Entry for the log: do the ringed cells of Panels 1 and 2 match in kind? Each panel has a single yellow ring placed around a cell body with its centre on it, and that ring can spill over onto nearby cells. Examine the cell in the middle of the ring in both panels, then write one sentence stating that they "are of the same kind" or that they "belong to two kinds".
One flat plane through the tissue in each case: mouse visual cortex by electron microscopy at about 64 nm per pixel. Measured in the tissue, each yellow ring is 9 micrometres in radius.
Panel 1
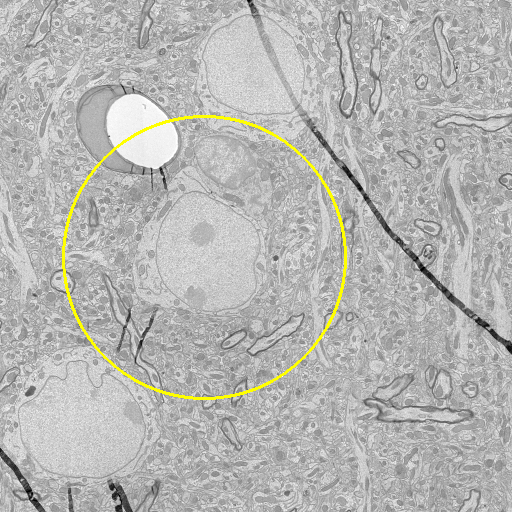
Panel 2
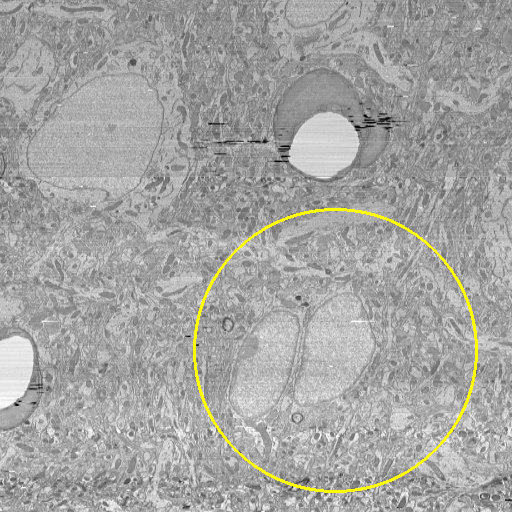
The centre cell of Panel 1's ring and that of Panel 2's ring belong to two kinds.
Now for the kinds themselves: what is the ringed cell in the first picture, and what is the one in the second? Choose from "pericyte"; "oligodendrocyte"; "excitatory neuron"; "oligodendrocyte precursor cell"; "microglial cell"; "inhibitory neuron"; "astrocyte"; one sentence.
Here the first cell is an excitatory neuron and the second cell is an astrocyte.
